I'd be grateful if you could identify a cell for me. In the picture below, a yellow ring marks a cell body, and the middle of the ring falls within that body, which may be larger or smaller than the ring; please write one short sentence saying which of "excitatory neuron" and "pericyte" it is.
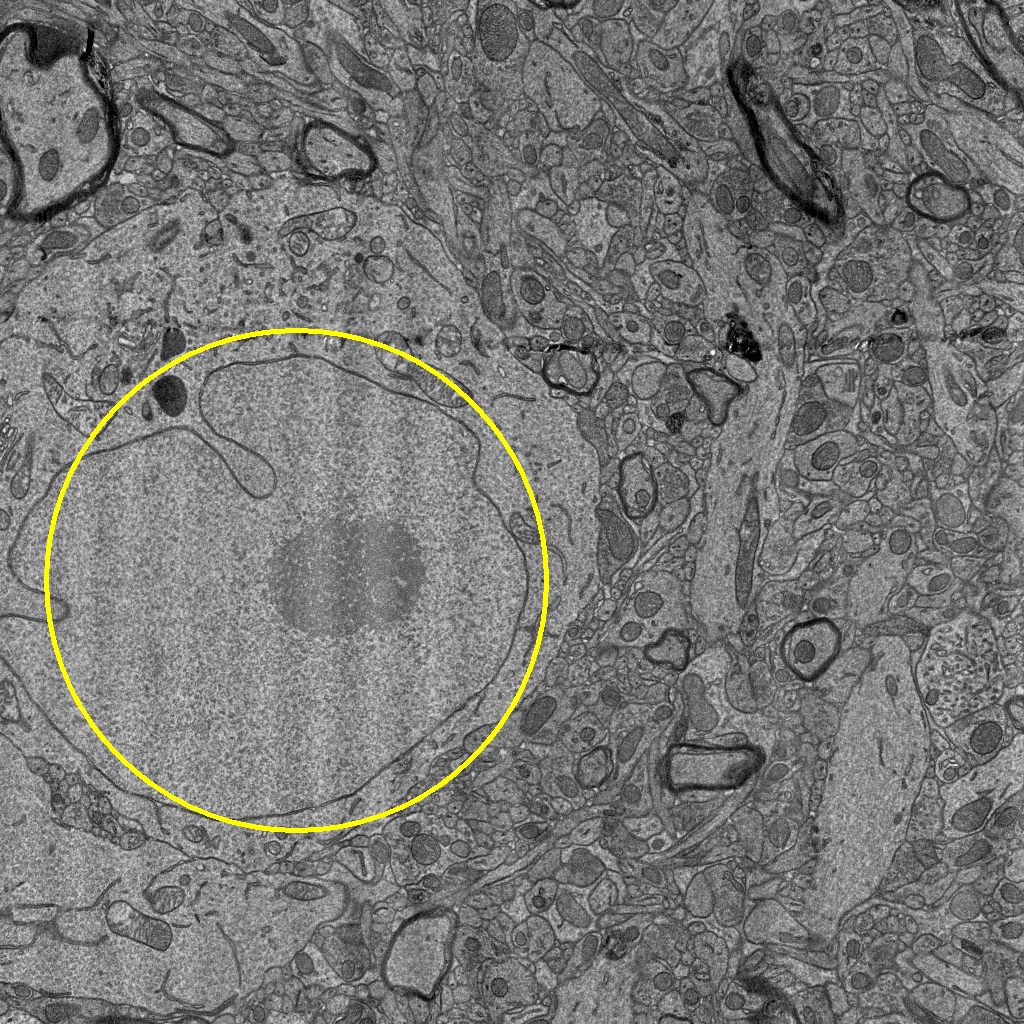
The cell under the ring's centre is an excitatory neuron.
